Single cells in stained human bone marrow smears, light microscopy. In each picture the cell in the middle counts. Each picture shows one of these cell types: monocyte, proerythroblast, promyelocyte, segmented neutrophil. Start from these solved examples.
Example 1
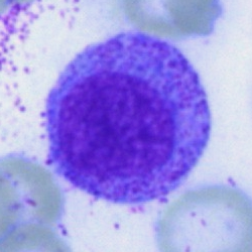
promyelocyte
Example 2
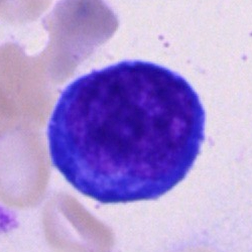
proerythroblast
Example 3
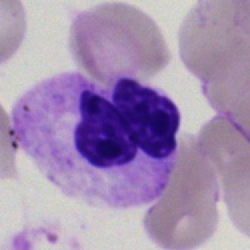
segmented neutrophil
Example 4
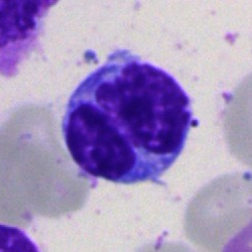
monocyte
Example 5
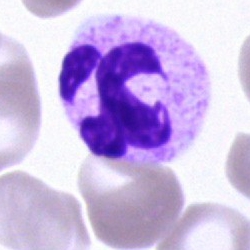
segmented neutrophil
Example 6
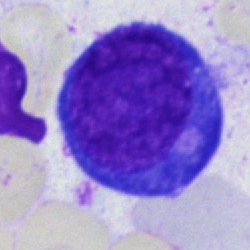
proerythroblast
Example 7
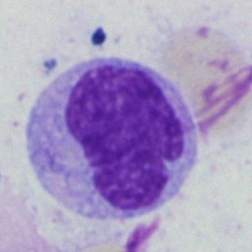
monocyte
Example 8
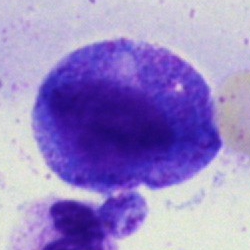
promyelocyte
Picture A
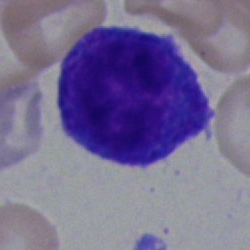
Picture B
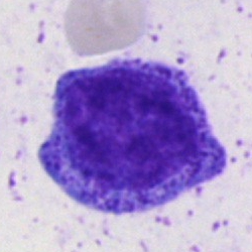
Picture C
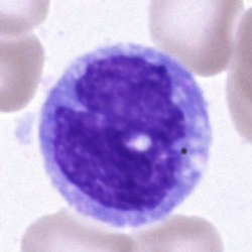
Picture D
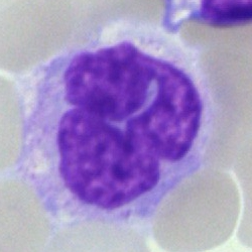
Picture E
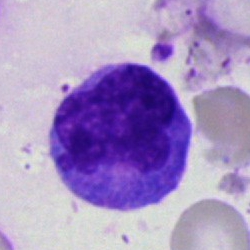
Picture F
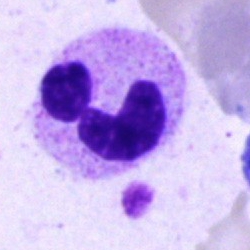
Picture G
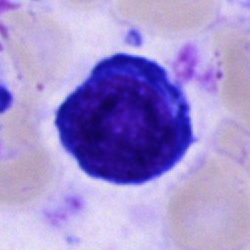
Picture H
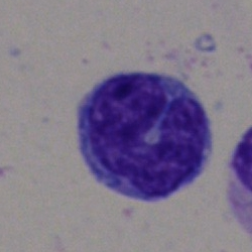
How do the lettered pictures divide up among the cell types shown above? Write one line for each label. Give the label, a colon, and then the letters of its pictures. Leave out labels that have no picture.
monocyte: C, D, E, H
proerythroblast: G
promyelocyte: A, B
segmented neutrophil: F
